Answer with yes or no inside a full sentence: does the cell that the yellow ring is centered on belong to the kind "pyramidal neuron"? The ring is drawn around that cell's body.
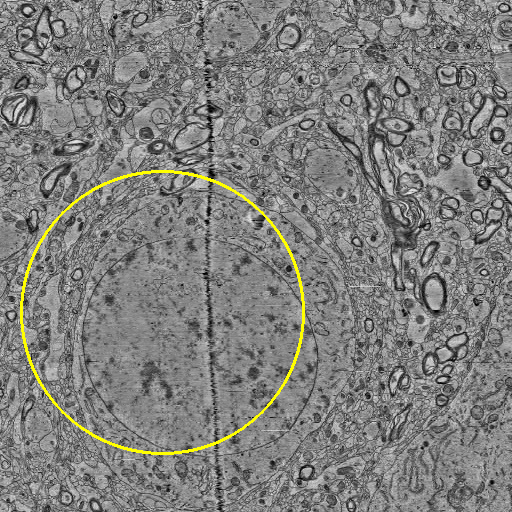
Yes, that kind describes the cell the yellow ring is centered on in the picture.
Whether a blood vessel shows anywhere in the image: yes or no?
No, none is visible.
